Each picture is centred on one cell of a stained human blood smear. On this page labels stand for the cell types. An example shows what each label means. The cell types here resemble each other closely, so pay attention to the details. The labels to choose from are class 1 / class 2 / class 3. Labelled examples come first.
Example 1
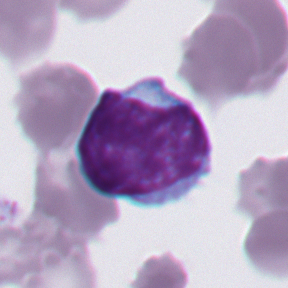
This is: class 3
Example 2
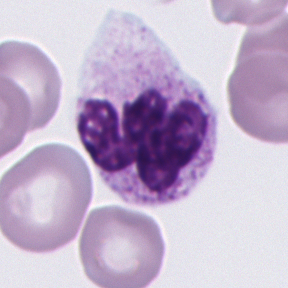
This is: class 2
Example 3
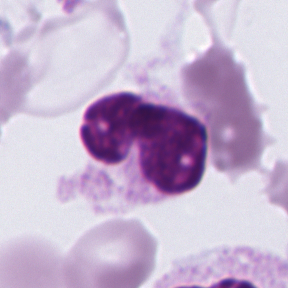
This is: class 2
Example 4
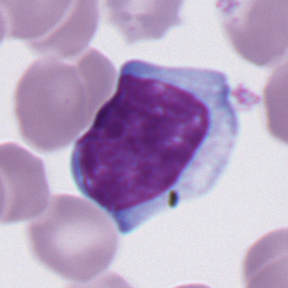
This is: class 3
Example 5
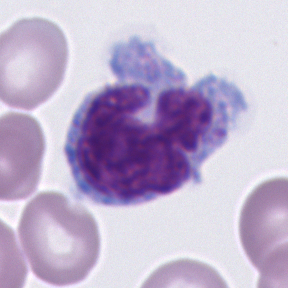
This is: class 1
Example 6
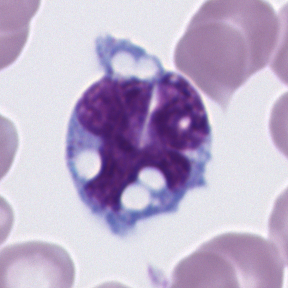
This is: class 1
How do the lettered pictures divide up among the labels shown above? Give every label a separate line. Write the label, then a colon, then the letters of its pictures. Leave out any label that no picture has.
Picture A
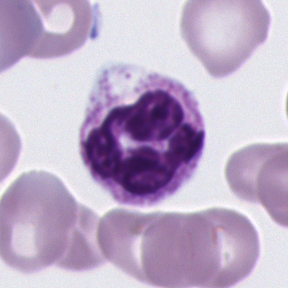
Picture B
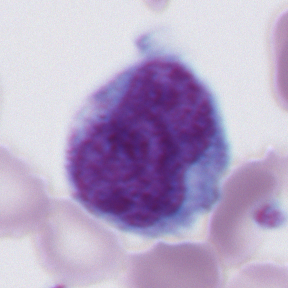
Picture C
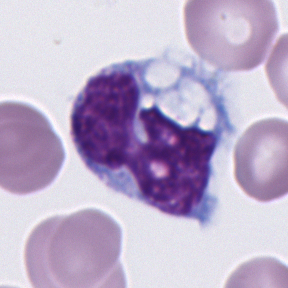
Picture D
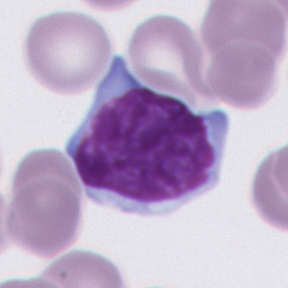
class 1: B, C
class 2: A
class 3: D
